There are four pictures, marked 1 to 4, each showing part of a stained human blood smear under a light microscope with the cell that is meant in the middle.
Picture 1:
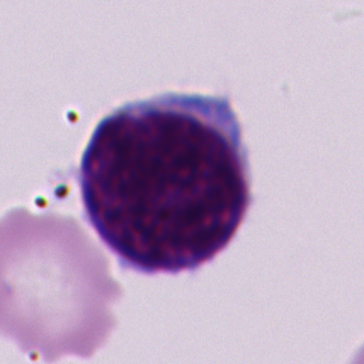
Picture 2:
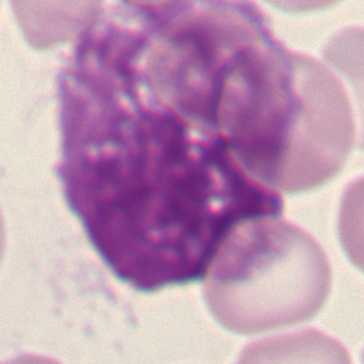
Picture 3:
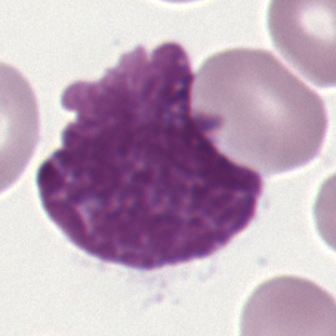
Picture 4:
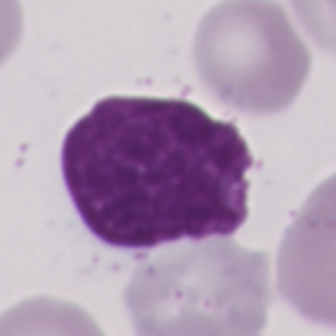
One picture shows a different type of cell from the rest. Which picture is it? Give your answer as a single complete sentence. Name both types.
The others show smudge cells, but picture 1 shows a typical lymphocyte.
